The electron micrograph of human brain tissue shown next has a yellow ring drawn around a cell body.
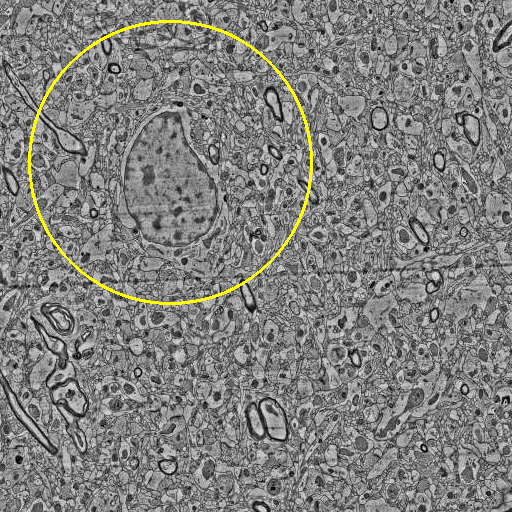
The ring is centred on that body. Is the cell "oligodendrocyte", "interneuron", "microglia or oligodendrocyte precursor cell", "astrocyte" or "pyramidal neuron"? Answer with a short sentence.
The cell in question is a microglial cell or oligodendrocyte precursor cell.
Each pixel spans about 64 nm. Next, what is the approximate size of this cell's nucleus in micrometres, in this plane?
About 8 micrometres by about 6 micrometres in this plane.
